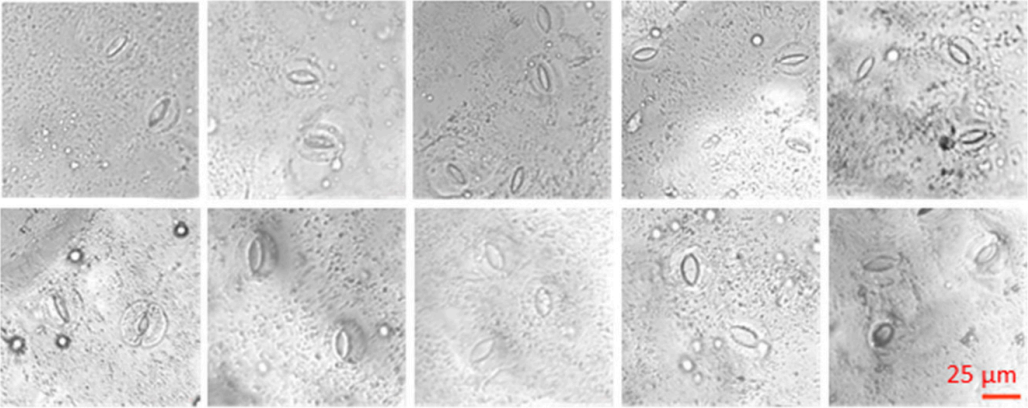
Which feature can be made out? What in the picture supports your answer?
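Stomata. Small lens-shaped structures lie scattered in a pale grey surface layer. A narrow slit-like pore runs lengthwise between the two curved cells.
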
